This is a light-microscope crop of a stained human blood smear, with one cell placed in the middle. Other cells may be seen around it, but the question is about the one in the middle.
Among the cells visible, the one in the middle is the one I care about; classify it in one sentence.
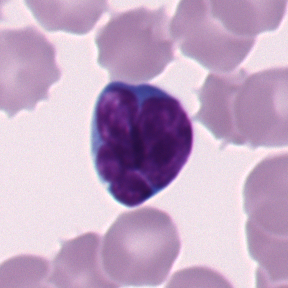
As for the central cell, it is a typical lymphocyte.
